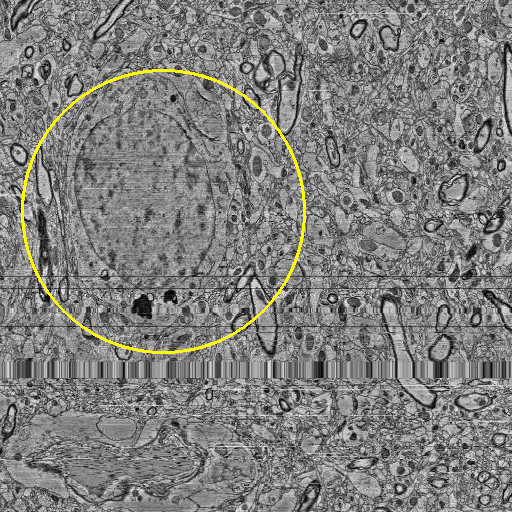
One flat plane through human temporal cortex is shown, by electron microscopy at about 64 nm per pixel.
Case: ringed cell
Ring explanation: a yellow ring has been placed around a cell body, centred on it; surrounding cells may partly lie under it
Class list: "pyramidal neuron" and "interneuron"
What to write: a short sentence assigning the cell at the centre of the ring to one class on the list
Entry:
The cell at the ring's centre is an interneuron.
